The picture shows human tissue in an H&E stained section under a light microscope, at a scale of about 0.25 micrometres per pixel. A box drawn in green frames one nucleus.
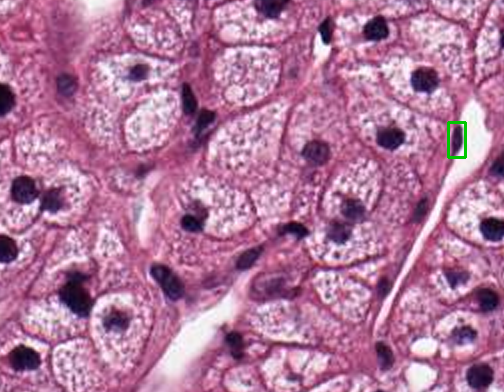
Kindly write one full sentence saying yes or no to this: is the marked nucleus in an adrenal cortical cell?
No, rather than an adrenal cortical cell, it is a supporting cell that contains the marked nucleus.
